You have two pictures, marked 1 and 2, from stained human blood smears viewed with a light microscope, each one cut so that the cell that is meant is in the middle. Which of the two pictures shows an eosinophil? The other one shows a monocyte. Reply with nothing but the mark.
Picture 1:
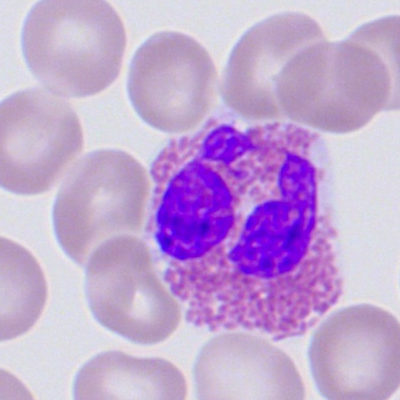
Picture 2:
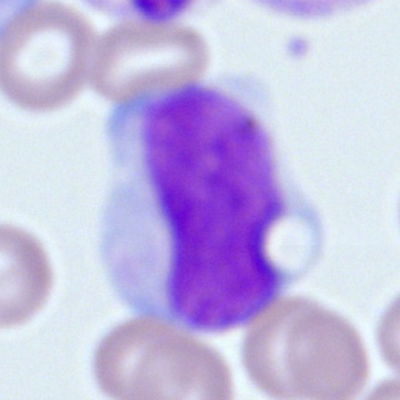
1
